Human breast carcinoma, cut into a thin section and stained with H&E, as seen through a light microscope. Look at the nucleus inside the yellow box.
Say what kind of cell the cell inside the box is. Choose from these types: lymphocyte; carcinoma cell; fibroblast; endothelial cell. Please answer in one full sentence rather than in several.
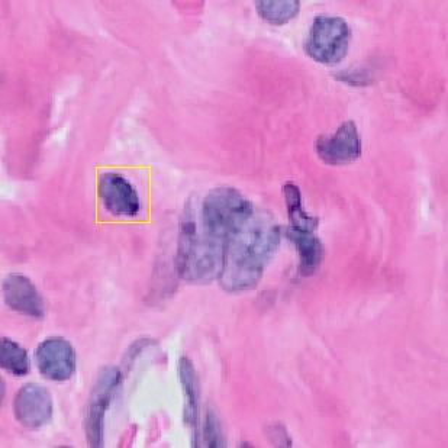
For the purposes of cell typing, the cell inside the box is categorized as a lymphocyte.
